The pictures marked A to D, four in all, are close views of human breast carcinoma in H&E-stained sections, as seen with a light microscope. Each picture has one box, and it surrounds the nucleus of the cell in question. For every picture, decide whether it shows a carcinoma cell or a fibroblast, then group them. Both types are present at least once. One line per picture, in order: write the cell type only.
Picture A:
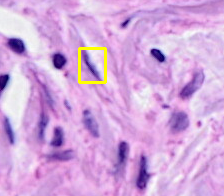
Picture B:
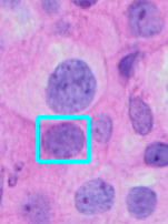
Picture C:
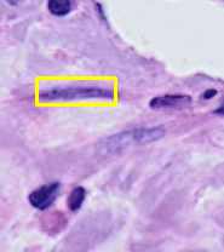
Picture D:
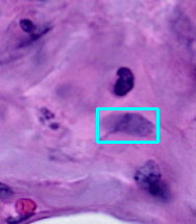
fibroblast
carcinoma cell
fibroblast
fibroblast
